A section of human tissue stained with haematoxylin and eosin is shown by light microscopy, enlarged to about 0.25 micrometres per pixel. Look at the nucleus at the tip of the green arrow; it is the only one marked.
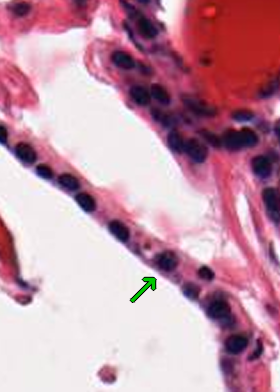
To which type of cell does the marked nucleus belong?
thyroid follicular cell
